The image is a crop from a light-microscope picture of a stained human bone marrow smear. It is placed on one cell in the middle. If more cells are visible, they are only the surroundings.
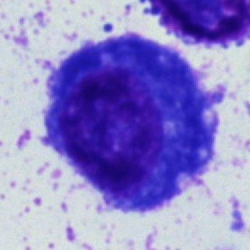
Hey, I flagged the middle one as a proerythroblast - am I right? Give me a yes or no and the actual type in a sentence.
No, the identification should read a plasma cell, not a proerythroblast, for the central cell.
